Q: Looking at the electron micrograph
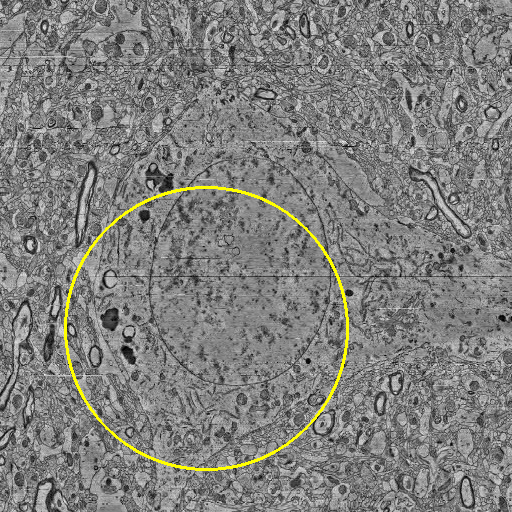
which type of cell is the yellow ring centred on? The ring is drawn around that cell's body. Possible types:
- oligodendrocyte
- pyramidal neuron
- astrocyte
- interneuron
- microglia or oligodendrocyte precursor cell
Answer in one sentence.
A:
The yellow ring is centred on a pyramidal neuron.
